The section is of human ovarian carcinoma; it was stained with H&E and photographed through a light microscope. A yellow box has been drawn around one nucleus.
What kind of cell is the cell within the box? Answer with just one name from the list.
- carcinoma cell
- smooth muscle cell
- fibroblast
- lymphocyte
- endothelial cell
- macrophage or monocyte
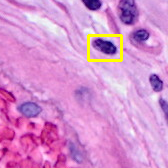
lymphocyte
